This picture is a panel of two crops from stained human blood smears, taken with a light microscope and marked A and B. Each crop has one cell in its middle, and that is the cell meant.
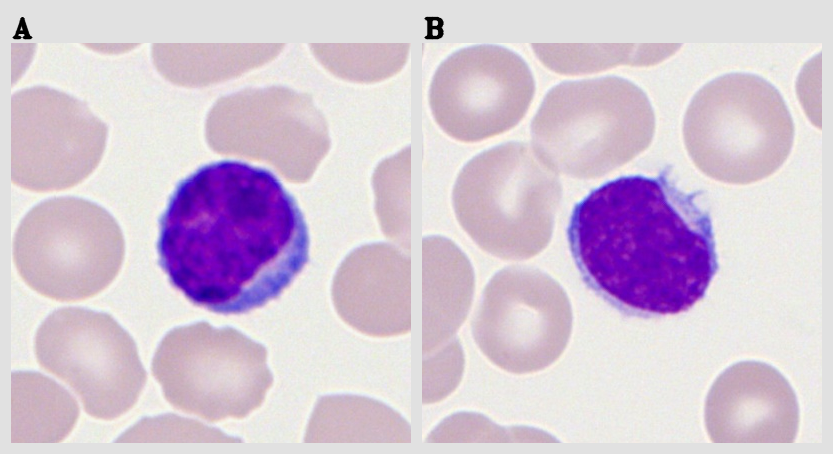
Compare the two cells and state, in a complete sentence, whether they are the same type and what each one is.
Yes, the centre of both crops is taken up by lymphocytes.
